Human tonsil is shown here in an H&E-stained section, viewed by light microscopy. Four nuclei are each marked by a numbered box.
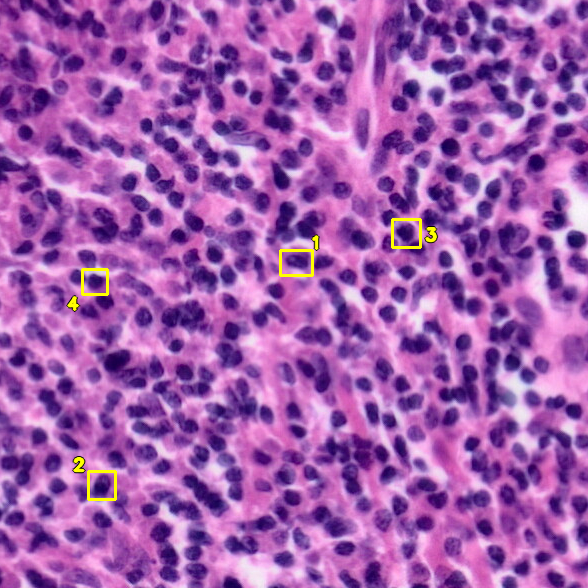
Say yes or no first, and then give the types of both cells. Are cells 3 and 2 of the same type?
No, the right answer is a small lymphocyte for cell 3 and a plasma cell for cell 2.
